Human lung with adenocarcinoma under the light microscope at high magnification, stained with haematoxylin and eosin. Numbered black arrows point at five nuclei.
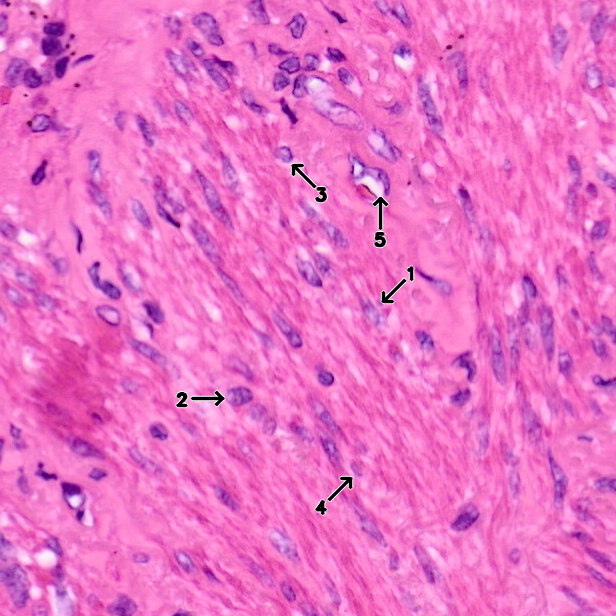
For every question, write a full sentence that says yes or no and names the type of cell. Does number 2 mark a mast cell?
Yes, the cell to which number 2 refers is a mast cell.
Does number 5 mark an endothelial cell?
Yes, that one, number 5, is an endothelial cell.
